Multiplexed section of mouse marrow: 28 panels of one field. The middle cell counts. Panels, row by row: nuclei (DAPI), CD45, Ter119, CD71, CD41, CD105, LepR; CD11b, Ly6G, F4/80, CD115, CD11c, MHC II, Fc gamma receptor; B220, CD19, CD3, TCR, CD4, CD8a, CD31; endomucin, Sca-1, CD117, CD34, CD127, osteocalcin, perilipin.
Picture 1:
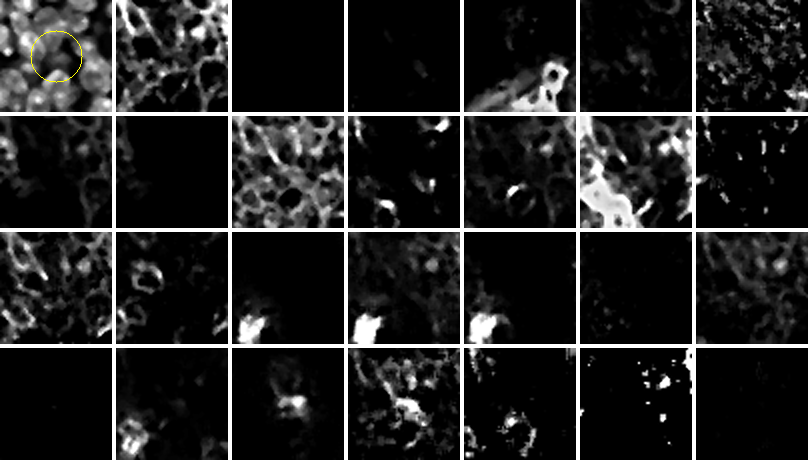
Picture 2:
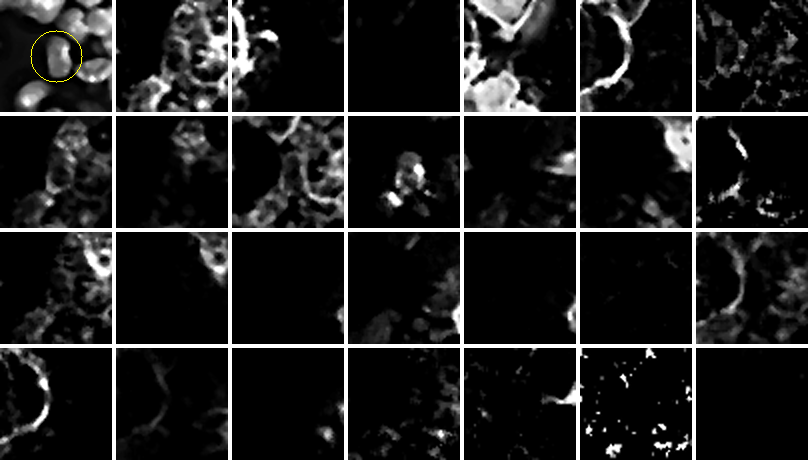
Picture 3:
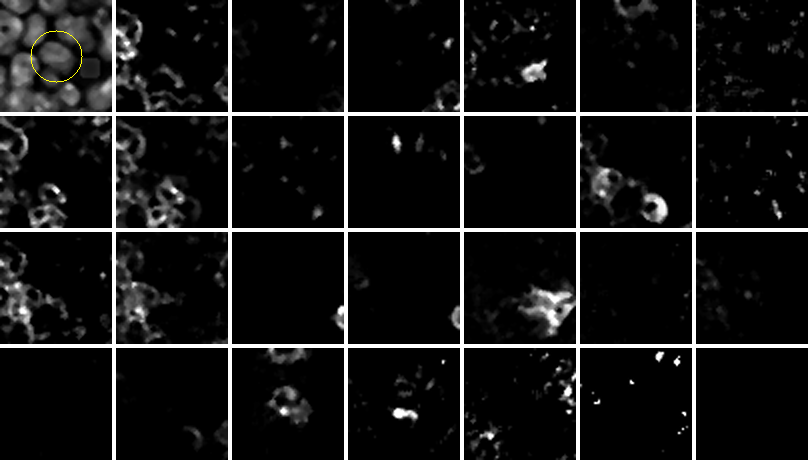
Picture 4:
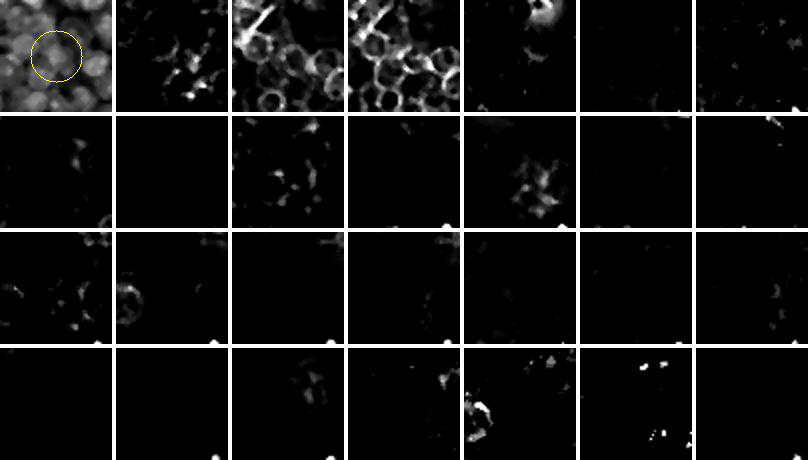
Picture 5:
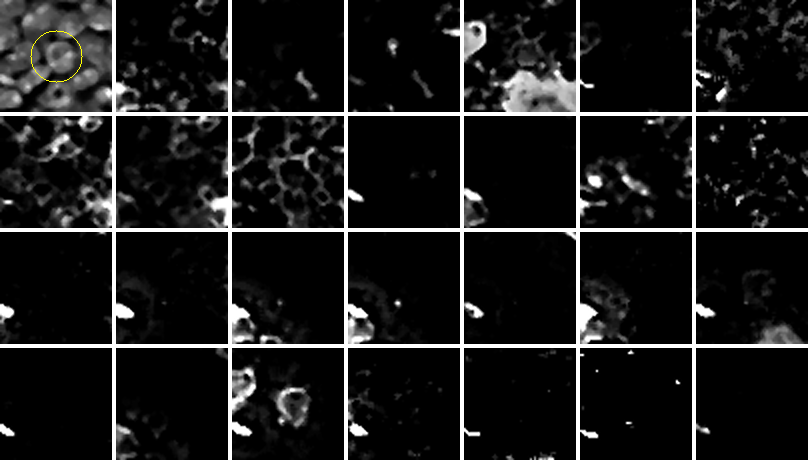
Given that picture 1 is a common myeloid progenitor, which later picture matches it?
3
